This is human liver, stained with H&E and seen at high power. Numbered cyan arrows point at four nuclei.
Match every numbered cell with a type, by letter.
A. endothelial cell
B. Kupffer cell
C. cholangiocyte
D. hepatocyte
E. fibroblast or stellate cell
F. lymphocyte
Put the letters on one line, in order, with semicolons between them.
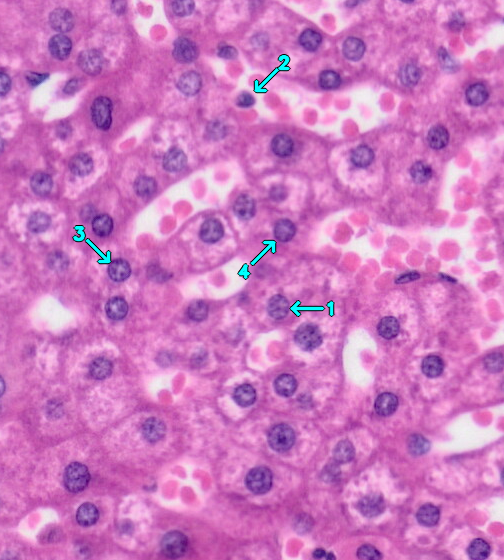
D; F; D; D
